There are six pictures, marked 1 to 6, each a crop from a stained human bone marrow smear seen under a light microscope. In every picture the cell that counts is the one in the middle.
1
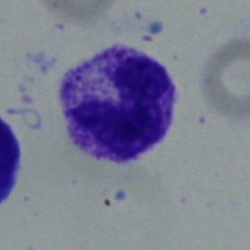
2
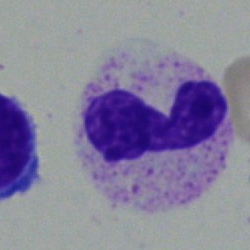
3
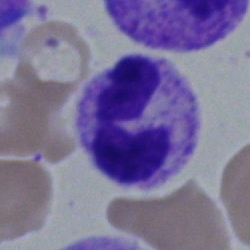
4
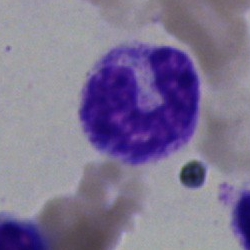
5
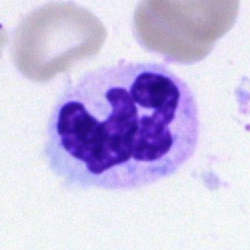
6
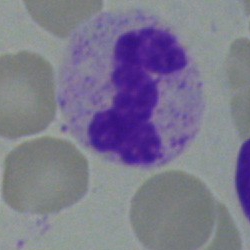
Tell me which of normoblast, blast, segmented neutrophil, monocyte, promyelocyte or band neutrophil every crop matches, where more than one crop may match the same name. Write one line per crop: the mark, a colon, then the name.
1: segmented neutrophil
2: band neutrophil
3: segmented neutrophil
4: band neutrophil
5: segmented neutrophil
6: segmented neutrophil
